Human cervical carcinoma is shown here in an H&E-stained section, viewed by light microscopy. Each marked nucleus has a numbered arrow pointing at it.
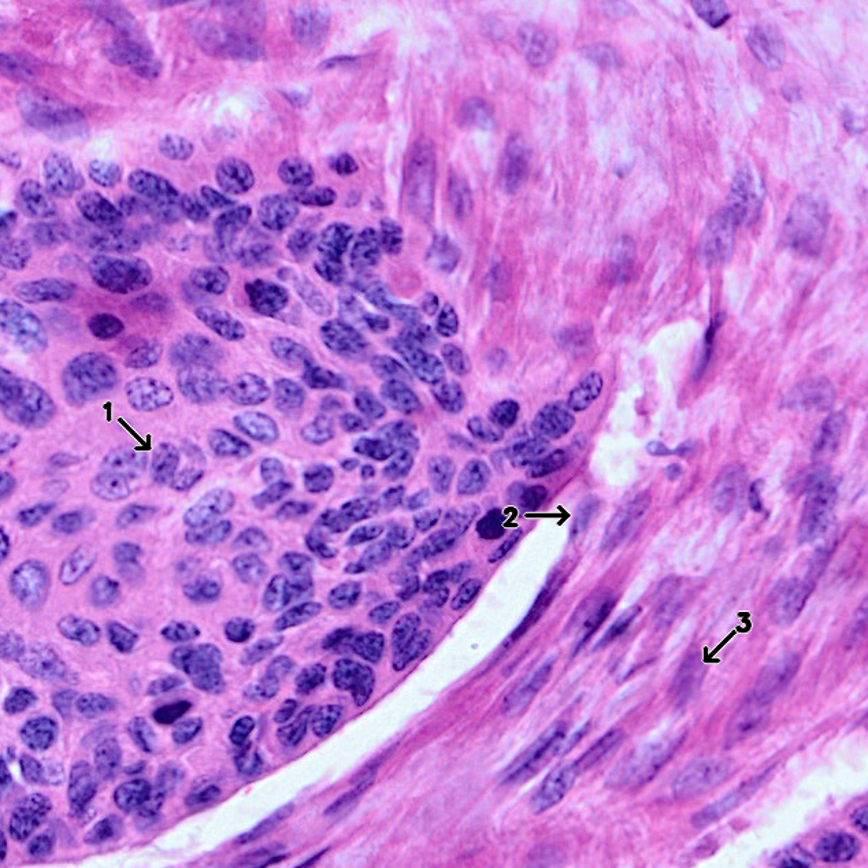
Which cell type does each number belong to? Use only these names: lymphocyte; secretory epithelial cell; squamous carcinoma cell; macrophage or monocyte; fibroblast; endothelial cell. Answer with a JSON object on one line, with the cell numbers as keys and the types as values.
{"1": "squamous carcinoma cell", "2": "fibroblast", "3": "fibroblast"}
